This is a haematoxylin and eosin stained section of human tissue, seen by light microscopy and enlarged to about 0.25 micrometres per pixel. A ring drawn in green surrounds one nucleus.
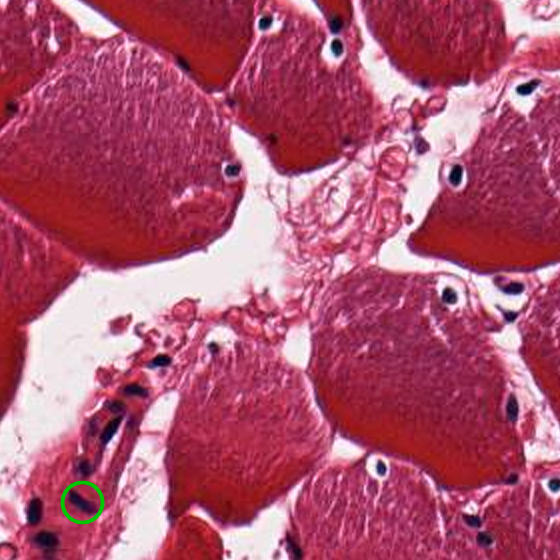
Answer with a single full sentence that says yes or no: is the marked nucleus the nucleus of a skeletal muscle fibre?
No, in the field shown, the nucleus that is marked is not from a skeletal muscle fibre.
